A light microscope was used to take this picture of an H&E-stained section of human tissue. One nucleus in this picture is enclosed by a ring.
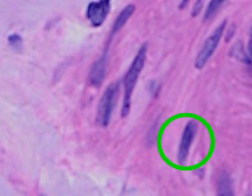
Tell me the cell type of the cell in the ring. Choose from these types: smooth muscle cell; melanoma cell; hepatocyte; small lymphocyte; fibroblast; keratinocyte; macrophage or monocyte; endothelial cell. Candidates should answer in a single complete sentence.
The identity of the cell in the ring is that of a smooth muscle cell.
